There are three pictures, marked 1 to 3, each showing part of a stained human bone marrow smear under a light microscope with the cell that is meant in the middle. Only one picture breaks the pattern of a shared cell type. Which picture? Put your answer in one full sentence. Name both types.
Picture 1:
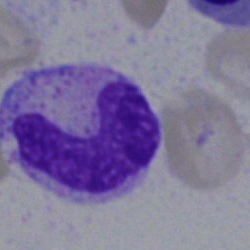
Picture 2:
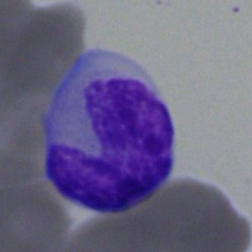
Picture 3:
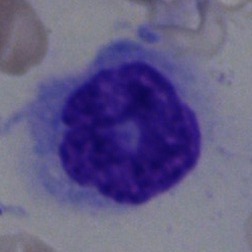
Picture 1 differs, because its cell is a band neutrophil and the rest are monocytes.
